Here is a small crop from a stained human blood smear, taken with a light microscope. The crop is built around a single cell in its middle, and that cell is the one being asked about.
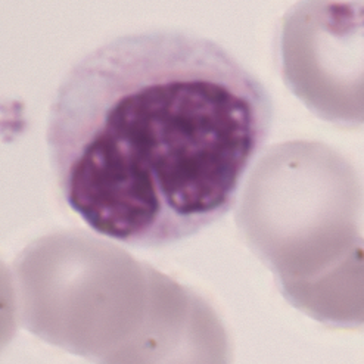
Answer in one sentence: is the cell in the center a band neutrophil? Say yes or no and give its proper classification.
Yes, what sits in the middle of the crop is a band neutrophil.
